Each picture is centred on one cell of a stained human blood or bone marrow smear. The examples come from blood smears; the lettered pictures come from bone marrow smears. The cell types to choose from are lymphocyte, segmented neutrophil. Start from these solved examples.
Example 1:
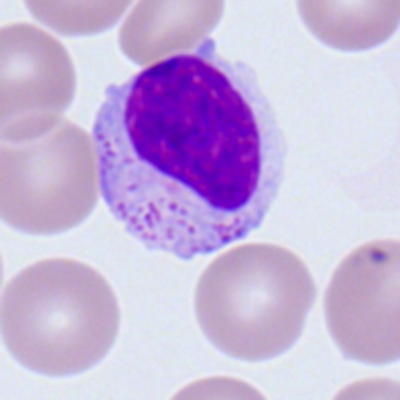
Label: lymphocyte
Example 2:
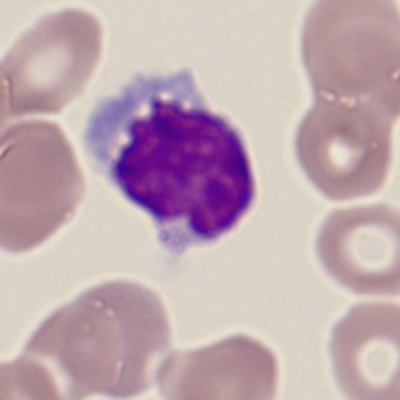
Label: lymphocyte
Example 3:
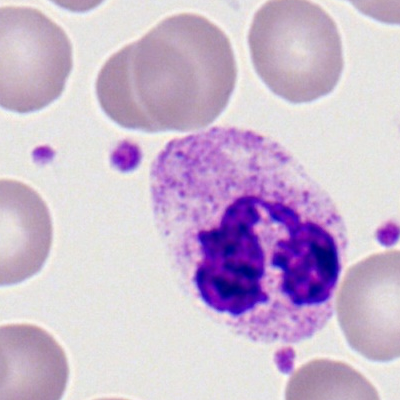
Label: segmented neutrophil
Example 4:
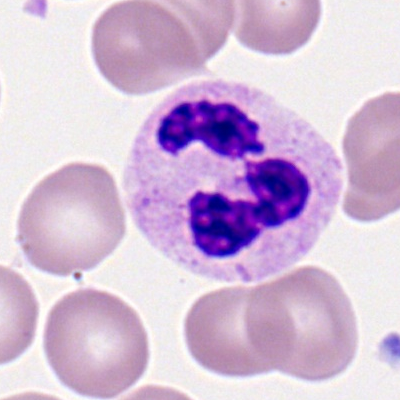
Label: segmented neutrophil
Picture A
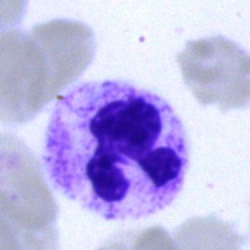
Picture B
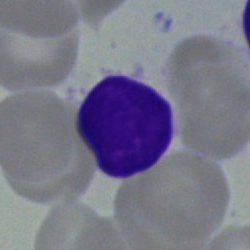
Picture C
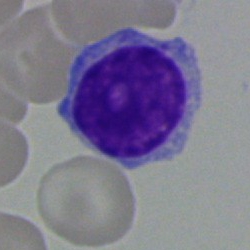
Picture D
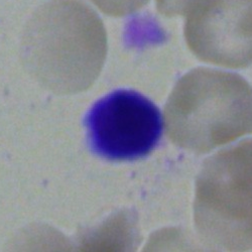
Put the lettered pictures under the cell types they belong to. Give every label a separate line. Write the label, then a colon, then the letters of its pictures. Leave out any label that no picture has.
lymphocyte: B, C, D
segmented neutrophil: A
